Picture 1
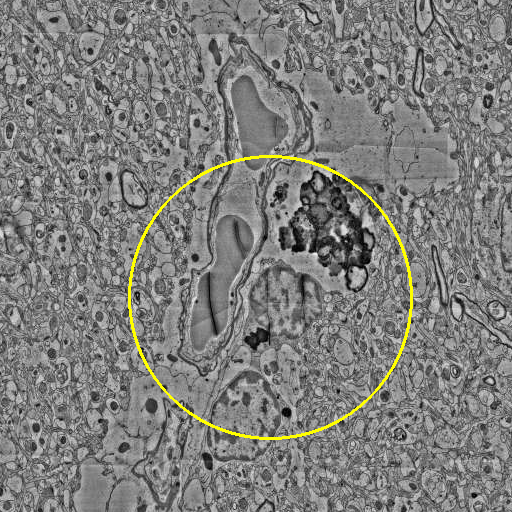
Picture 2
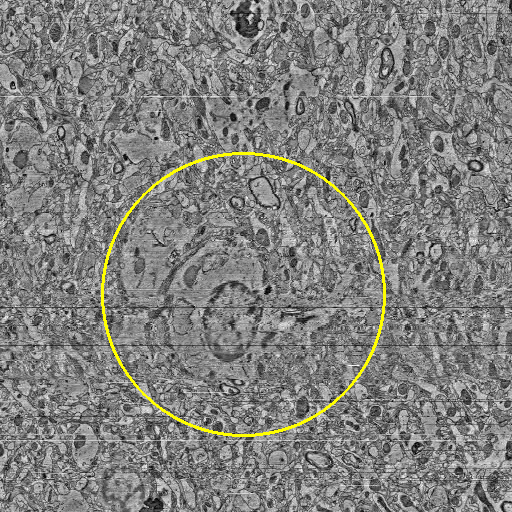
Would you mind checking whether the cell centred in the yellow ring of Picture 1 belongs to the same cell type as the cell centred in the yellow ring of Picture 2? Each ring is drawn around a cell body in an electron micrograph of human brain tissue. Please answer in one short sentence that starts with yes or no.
No, the two cells are of two types.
